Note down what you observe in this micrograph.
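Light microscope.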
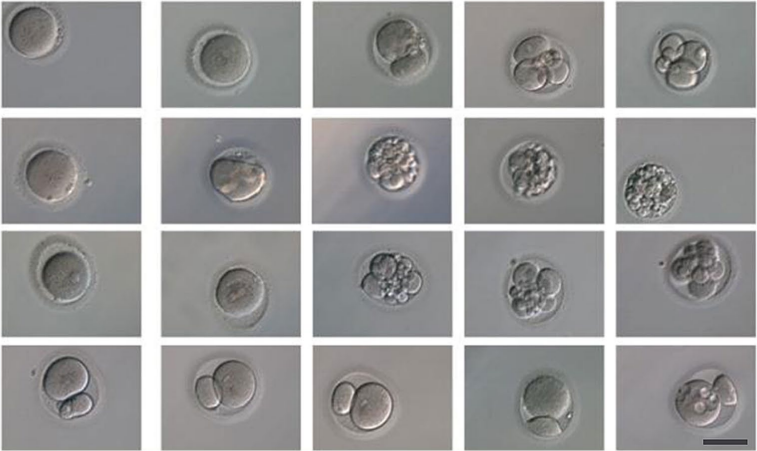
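Single rounded oocytes give way to embryos of only a few large blastomeres, and several embryos are broken up into many small irregular fragments. One oocyte shows a very large second body beside it inside the zona.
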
